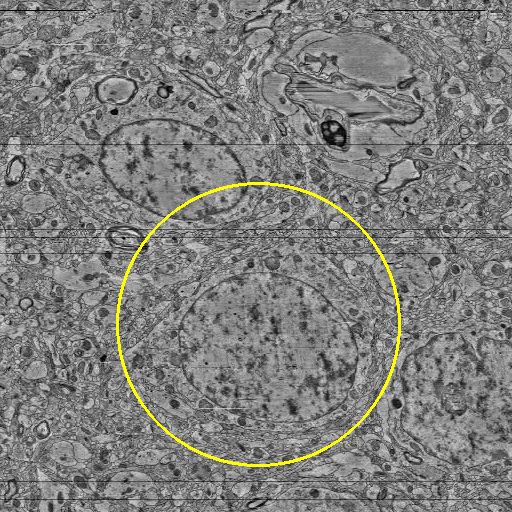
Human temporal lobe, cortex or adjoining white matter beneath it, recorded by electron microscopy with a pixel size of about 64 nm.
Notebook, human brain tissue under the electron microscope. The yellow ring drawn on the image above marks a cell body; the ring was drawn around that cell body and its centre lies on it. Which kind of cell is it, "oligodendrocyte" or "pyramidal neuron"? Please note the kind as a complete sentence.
The marked cell body is that of a pyramidal neuron.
